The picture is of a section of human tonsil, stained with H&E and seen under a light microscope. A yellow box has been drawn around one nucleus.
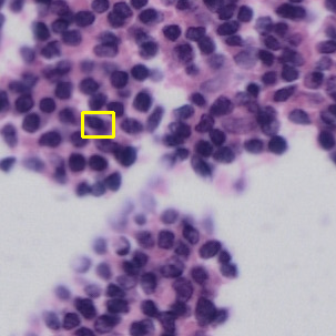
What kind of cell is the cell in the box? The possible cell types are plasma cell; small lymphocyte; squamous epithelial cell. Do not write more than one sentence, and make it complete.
Speaking plainly, the cell in the box is nothing other than a small lymphocyte.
